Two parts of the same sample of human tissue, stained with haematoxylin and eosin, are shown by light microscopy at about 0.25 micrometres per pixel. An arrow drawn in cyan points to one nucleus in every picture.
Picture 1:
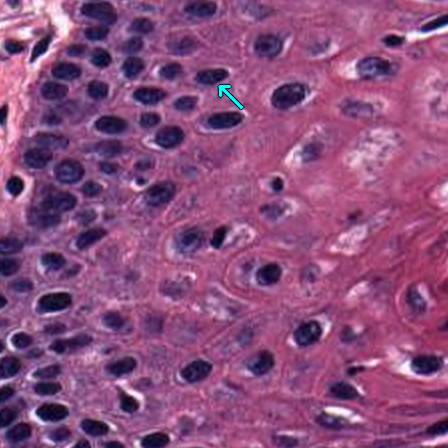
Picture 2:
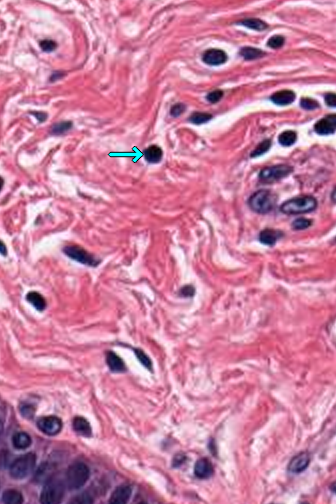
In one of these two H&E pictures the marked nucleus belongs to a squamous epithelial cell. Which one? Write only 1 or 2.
1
